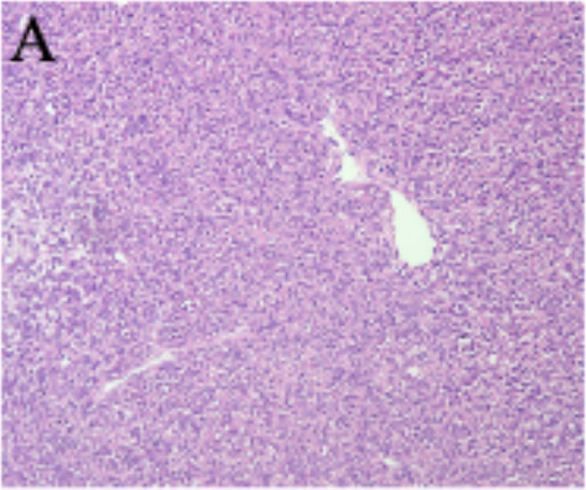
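Tumor at low power, made of densely packed cells in diffuse sheets with little intervening stroma. A few thin-walled slit-like vessels run through the sheet.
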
